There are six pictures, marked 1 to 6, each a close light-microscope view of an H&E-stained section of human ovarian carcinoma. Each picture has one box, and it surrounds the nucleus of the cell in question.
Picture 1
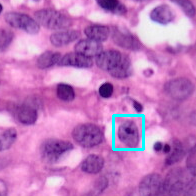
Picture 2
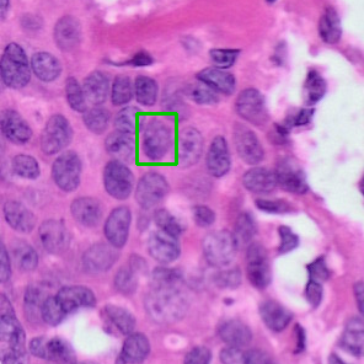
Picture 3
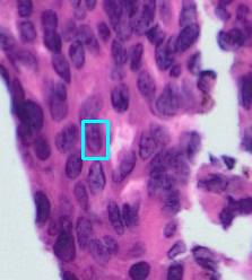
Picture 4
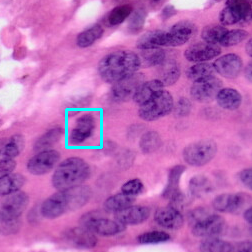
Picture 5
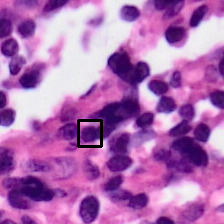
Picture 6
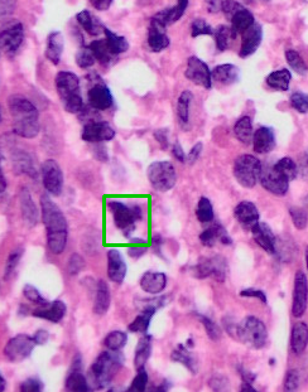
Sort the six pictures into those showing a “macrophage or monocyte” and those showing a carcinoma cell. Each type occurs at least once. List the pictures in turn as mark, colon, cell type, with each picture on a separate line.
1: macrophage or monocyte
2: carcinoma cell
3: carcinoma cell
4: macrophage or monocyte
5: carcinoma cell
6: carcinoma cell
